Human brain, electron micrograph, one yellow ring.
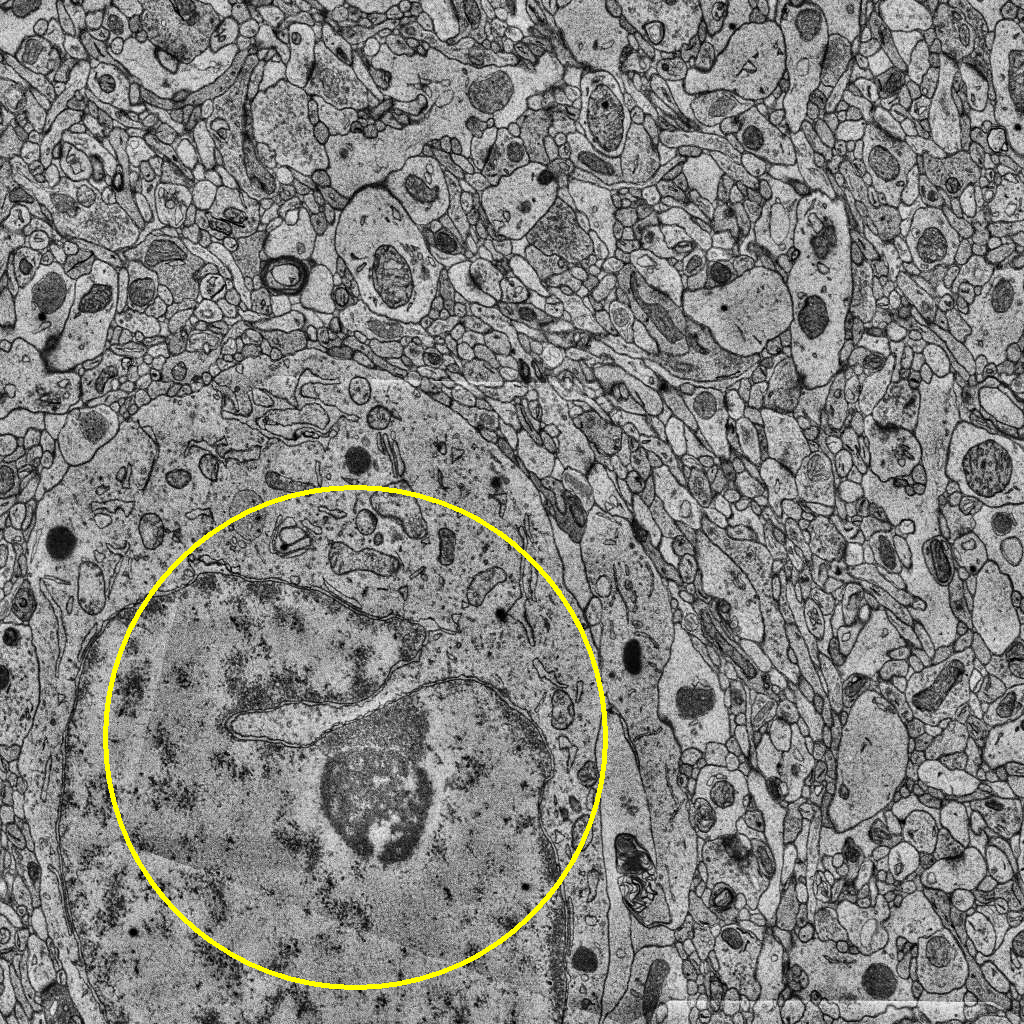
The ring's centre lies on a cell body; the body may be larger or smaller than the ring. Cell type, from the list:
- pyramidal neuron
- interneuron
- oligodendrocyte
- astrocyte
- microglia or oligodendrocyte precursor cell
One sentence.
The yellow ring's centre lies on an interneuron.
